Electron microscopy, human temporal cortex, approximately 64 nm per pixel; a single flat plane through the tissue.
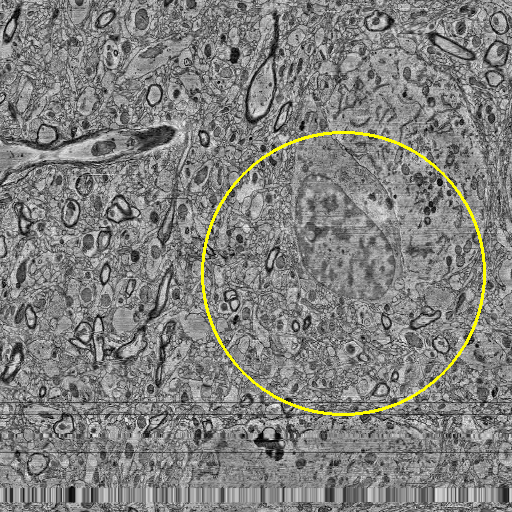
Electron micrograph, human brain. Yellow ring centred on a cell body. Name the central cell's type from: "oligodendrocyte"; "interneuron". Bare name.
oligodendrocyte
